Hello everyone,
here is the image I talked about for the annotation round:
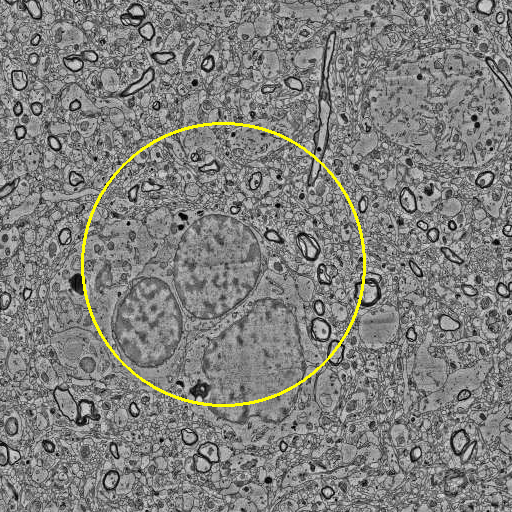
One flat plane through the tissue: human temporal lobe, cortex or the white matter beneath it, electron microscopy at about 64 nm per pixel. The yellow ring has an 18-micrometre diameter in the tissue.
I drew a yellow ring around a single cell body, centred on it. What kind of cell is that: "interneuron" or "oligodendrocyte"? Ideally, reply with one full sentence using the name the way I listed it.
The cell your yellow ring is centred on is an oligodendrocyte, going by your list.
